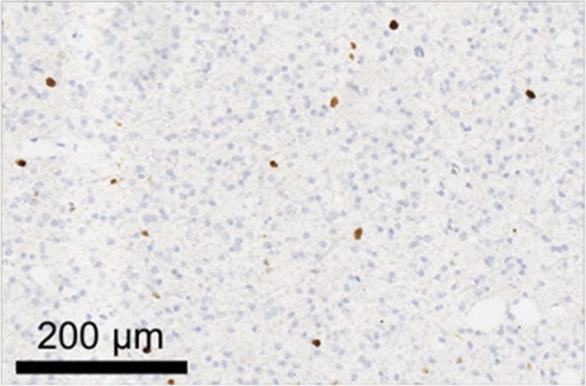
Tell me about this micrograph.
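Only a small number of scattered nuclei are stained dark brown. The brown nuclei are spread singly across the field rather than clustered. The background is pale and finely fibrillary, with a few empty round spaces.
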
